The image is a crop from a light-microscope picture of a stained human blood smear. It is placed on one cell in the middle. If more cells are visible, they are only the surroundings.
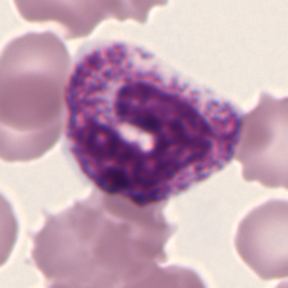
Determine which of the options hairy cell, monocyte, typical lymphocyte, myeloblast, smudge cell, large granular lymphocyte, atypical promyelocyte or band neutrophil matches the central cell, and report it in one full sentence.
The middle of this crop is occupied by a band neutrophil.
